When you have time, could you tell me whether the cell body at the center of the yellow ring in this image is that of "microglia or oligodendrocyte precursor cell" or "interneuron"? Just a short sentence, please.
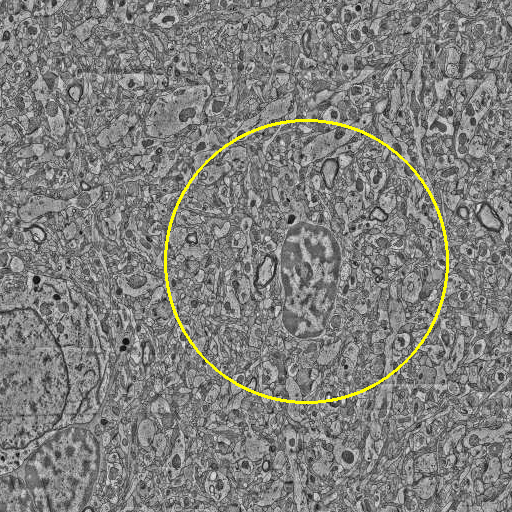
The cell body at the center of the ring is that of a microglial cell or oligodendrocyte precursor cell.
